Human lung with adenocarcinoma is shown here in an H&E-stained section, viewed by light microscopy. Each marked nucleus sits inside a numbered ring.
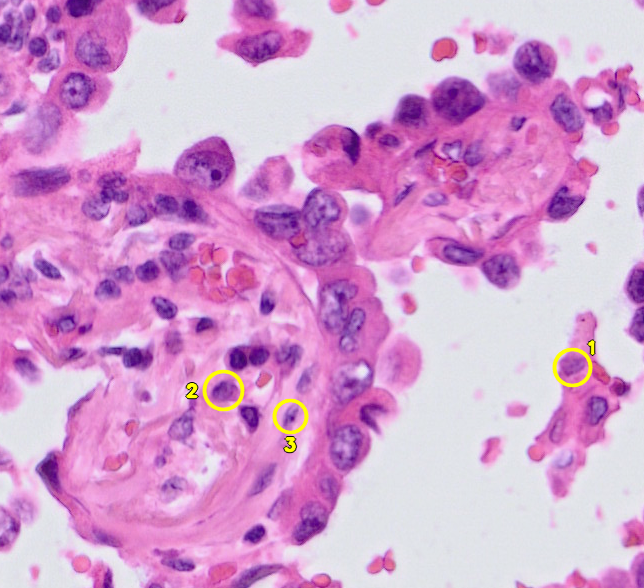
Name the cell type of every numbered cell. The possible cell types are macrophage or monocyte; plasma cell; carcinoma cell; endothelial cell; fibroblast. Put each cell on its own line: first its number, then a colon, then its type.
1: macrophage or monocyte
2: plasma cell
3: fibroblast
